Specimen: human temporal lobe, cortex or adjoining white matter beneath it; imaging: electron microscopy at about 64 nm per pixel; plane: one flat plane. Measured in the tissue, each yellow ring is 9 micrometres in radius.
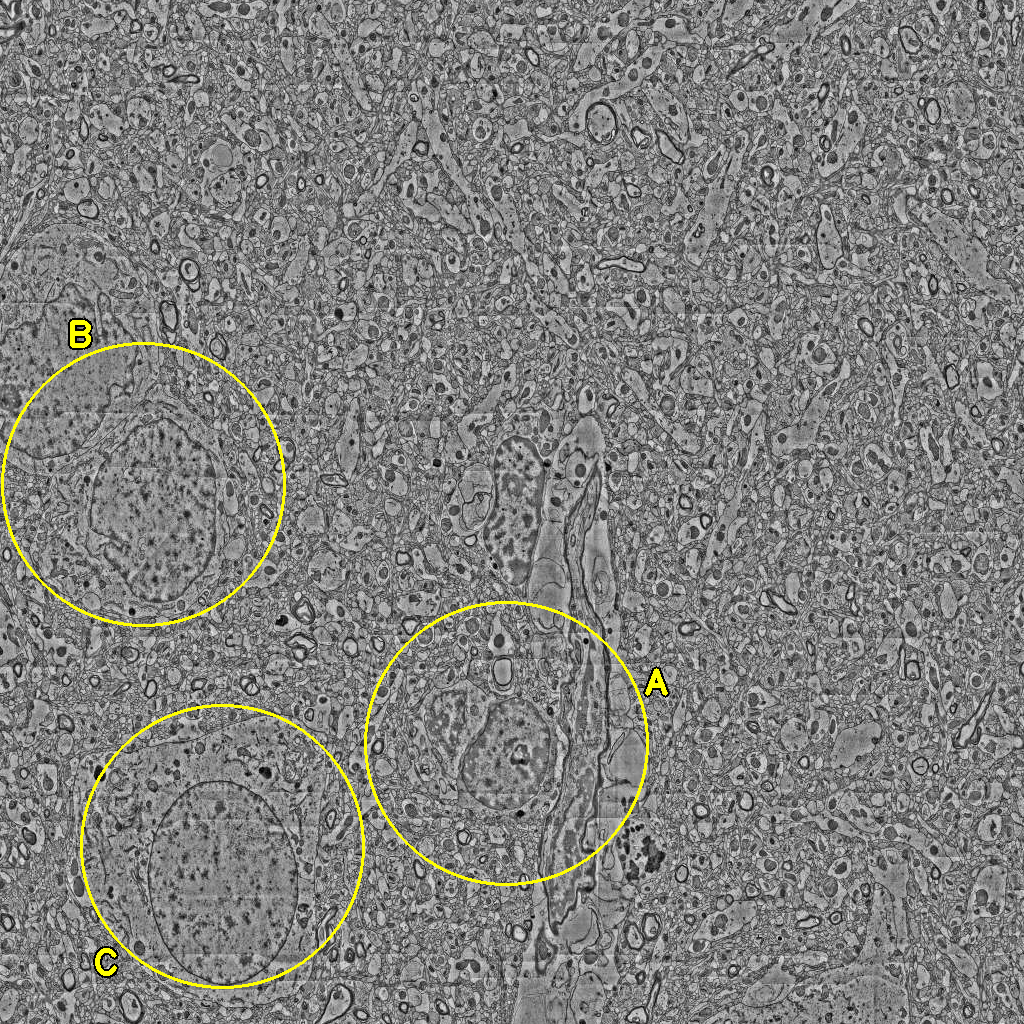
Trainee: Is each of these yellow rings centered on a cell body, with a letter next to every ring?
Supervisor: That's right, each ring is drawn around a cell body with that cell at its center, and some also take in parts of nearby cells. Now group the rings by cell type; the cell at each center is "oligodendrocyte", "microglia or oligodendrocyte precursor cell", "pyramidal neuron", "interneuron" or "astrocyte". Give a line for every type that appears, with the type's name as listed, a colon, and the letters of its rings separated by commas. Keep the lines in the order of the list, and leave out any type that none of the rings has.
oligodendrocyte: A
pyramidal neuron: C
interneuron: B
